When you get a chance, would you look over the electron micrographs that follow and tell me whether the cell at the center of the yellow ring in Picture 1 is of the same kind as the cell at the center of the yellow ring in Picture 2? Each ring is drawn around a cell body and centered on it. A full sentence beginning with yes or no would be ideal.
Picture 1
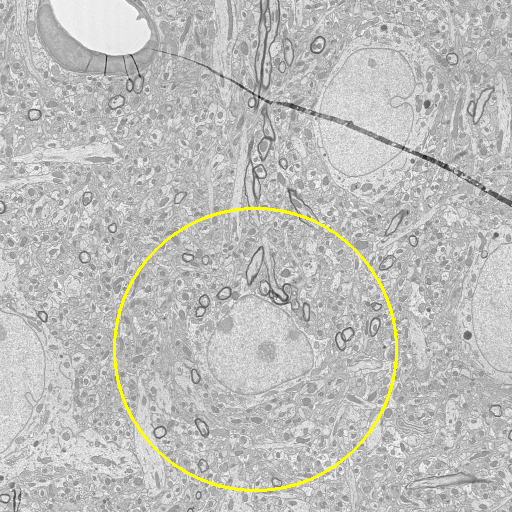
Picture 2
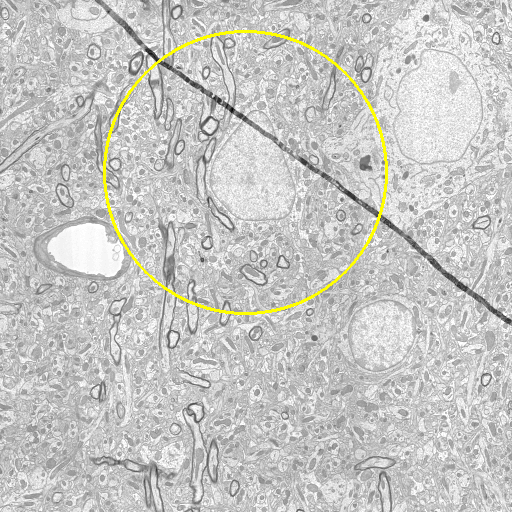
Yes, the two cells are of the same kind.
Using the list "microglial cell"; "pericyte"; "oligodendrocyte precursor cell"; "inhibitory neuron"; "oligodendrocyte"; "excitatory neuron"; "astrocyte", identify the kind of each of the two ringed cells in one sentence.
Each cell, in the first picture and the second, is an astrocyte.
